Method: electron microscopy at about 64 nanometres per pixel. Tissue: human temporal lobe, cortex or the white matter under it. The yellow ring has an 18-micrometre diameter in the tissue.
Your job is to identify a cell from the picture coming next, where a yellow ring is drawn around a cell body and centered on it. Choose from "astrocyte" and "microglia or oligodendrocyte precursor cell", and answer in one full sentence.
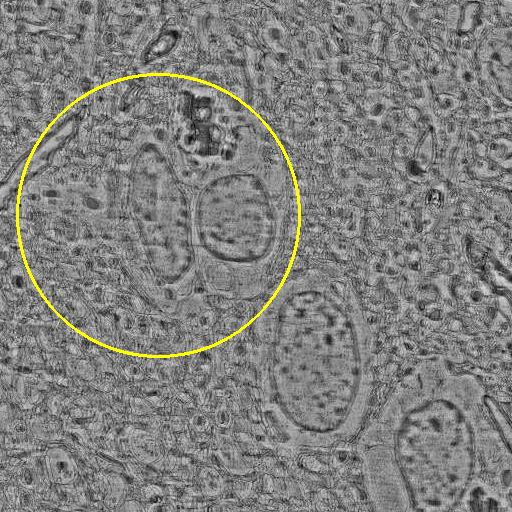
Centered in the yellow ring of the picture is the body of an astrocyte.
